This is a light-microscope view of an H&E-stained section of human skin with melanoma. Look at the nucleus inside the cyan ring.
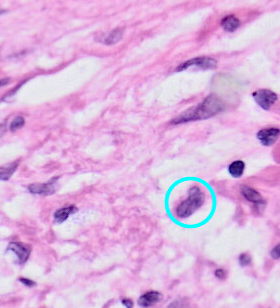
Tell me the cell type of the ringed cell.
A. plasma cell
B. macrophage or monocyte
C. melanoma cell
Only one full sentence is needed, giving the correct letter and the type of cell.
Option B correctly labels the ringed cell as a macrophage or monocyte.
